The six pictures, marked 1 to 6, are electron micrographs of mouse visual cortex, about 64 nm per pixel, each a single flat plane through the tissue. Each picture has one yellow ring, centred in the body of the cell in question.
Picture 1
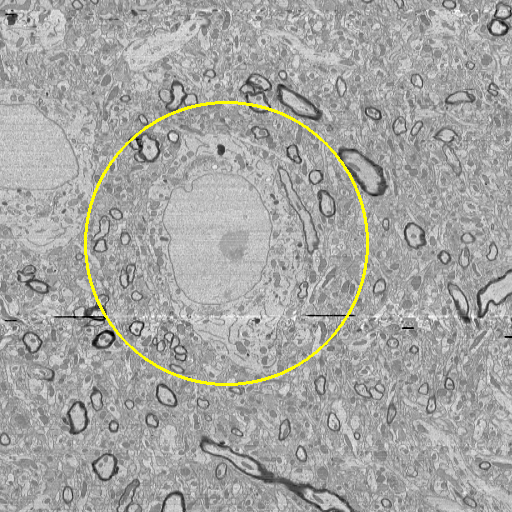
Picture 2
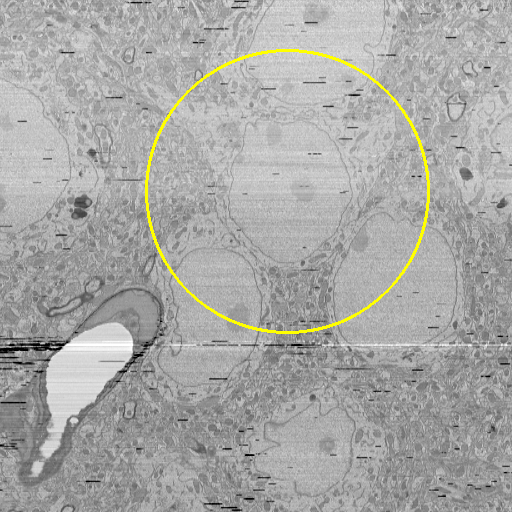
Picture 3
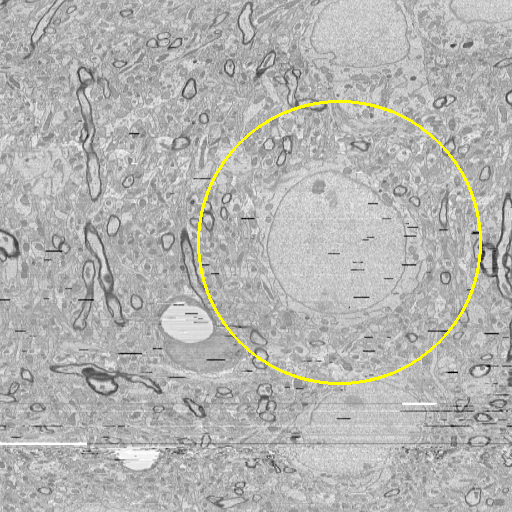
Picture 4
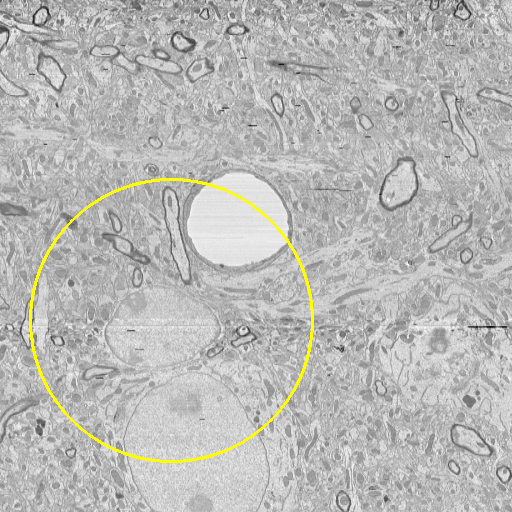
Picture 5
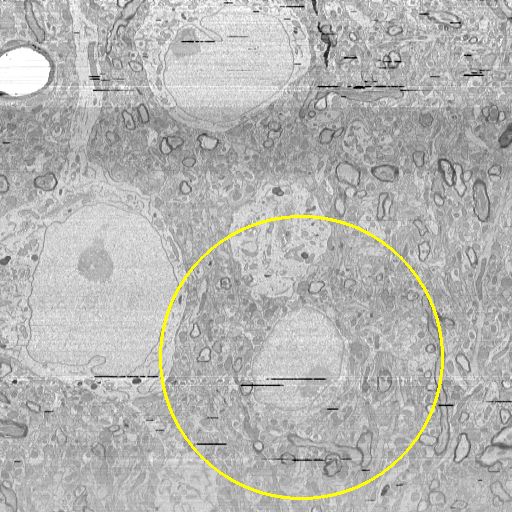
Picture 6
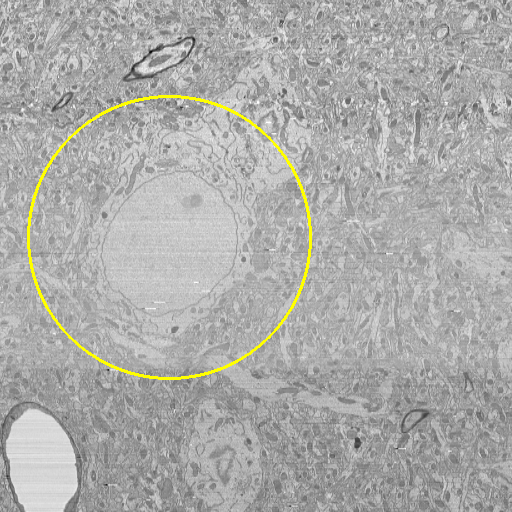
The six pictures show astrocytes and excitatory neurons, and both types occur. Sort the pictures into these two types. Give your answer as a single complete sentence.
Pictures 4 and 5 show astrocytes, while pictures 1, 2, 3 and 6 show excitatory neurons.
